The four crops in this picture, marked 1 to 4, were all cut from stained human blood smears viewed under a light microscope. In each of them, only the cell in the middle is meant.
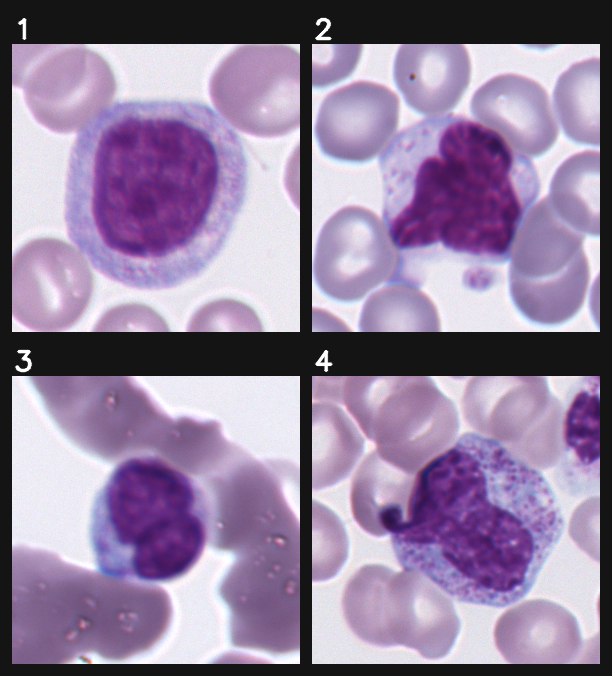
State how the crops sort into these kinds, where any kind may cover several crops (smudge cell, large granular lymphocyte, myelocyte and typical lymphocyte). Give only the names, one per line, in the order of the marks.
myelocyte
large granular lymphocyte
typical lymphocyte
myelocyte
